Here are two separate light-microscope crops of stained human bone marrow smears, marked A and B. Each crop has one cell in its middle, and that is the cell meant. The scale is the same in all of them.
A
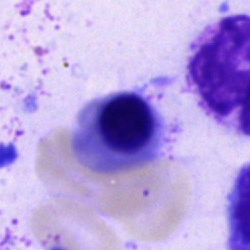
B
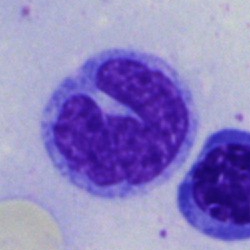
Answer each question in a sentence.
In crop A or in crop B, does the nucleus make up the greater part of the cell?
The nucleus fills more of the cell in crop B than in crop A.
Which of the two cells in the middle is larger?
The cell in crop B is larger, with about 3 times the area of the one in crop A.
